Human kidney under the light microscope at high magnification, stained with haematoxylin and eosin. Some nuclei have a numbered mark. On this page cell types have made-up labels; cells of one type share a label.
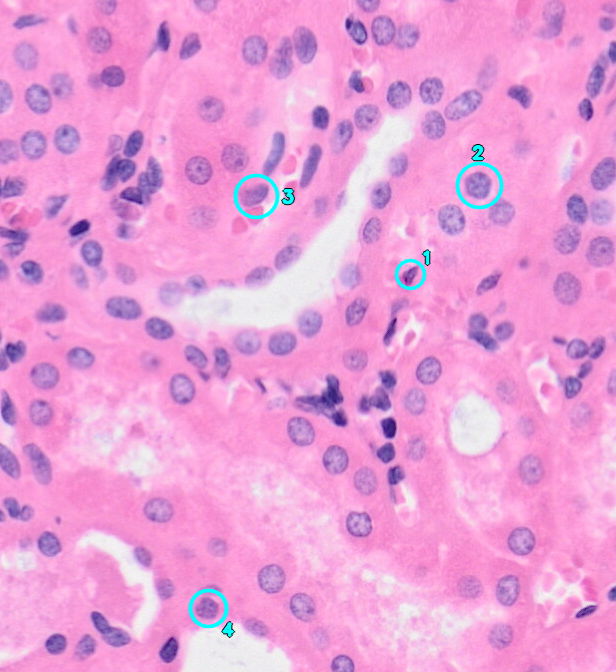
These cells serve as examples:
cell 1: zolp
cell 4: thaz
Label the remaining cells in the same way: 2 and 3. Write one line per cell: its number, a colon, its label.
2: thaz
3: zolp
